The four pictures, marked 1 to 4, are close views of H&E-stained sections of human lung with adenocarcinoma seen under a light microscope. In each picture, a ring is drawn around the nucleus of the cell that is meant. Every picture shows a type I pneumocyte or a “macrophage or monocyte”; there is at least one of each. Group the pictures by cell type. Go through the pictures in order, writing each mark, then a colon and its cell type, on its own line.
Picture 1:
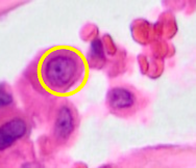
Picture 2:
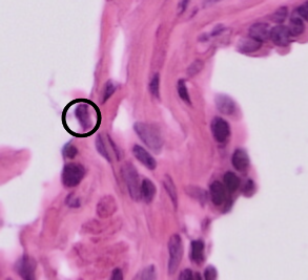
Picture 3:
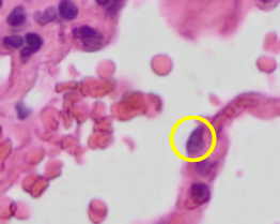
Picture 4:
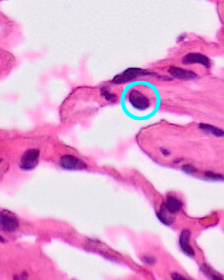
1: macrophage or monocyte
2: type I pneumocyte
3: type I pneumocyte
4: type I pneumocyte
